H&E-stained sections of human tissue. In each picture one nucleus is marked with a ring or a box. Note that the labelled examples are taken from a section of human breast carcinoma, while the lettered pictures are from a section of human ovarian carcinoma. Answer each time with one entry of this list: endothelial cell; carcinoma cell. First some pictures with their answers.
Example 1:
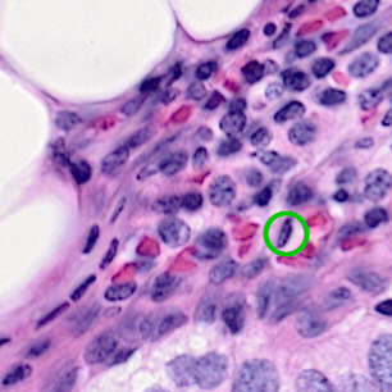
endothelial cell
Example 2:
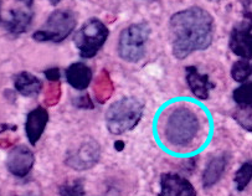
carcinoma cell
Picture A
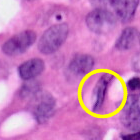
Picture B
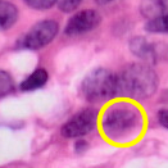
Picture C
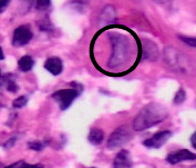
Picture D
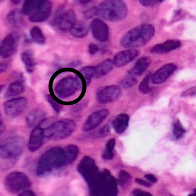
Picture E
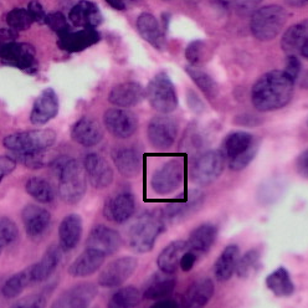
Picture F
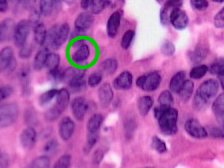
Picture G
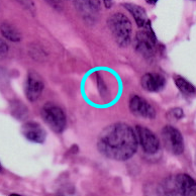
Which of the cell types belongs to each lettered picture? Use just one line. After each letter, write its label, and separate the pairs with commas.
A endothelial cell, B carcinoma cell, C endothelial cell, D carcinoma cell, E carcinoma cell, F carcinoma cell, G endothelial cell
